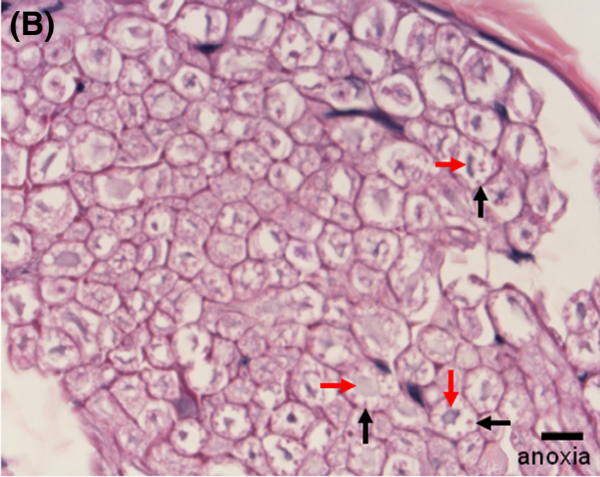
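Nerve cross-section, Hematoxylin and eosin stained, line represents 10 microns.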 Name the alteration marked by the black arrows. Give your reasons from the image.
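The black arrows point to the pink rims around individual round nerve fibres. The rims at these points look frayed and vacuolated rather than smooth.
Answer: disruption of myelin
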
